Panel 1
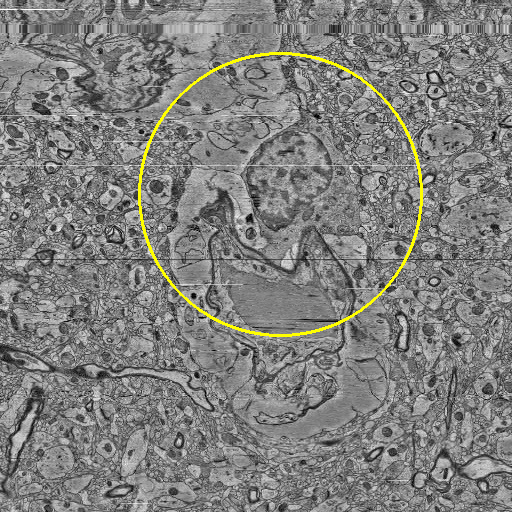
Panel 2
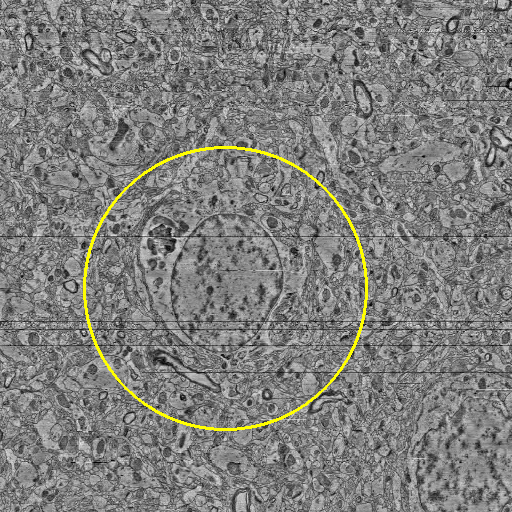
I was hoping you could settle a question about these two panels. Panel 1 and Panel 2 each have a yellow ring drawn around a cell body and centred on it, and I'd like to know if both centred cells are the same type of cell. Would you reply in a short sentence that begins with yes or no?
No, they are two types of cell.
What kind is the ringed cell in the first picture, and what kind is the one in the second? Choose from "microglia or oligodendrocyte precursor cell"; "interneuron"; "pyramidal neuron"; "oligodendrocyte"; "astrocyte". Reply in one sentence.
The first cell is an oligodendrocyte; the second is an astrocyte.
